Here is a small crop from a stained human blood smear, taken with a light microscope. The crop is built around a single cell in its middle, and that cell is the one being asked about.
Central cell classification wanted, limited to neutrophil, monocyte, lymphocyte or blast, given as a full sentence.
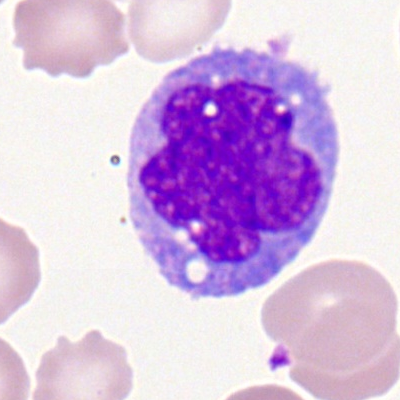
The cell in the middle of the field of view is a monocyte.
